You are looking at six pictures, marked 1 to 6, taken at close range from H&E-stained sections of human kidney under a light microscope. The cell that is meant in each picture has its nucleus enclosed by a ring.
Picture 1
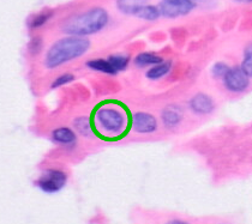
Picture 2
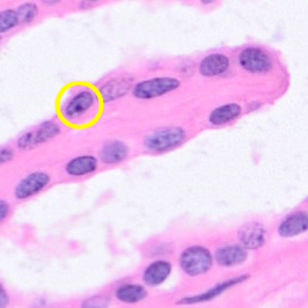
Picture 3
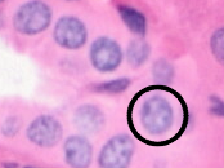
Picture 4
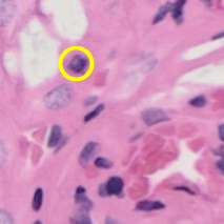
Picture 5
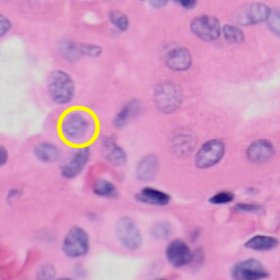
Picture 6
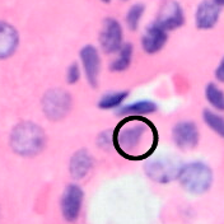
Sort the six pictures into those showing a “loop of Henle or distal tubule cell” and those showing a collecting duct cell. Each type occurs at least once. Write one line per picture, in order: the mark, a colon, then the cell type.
1: collecting duct cell
2: collecting duct cell
3: collecting duct cell
4: loop of Henle or distal tubule cell
5: loop of Henle or distal tubule cell
6: collecting duct cell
